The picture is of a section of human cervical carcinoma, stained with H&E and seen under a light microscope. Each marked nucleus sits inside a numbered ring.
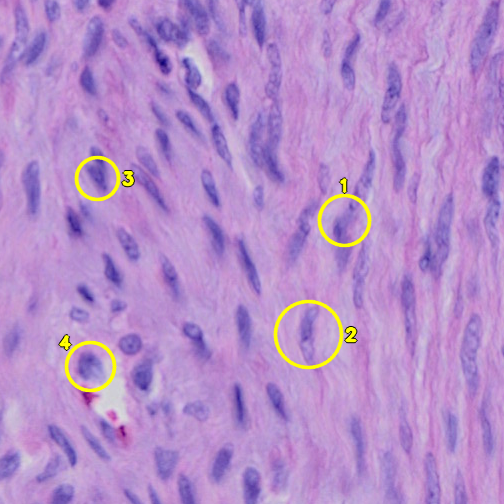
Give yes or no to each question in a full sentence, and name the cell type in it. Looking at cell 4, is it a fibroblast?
No, number 4 points to an endothelial cell and not to a fibroblast.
